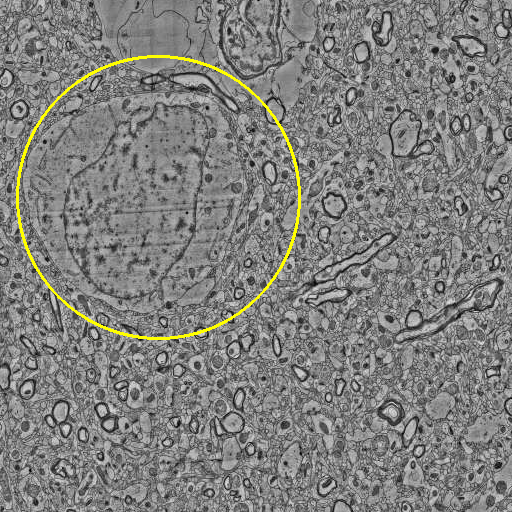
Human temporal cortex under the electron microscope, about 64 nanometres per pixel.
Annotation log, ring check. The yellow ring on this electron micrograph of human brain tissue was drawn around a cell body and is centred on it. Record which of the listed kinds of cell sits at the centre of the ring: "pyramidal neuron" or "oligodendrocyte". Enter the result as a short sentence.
The cell at the centre of the ring is a pyramidal neuron.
